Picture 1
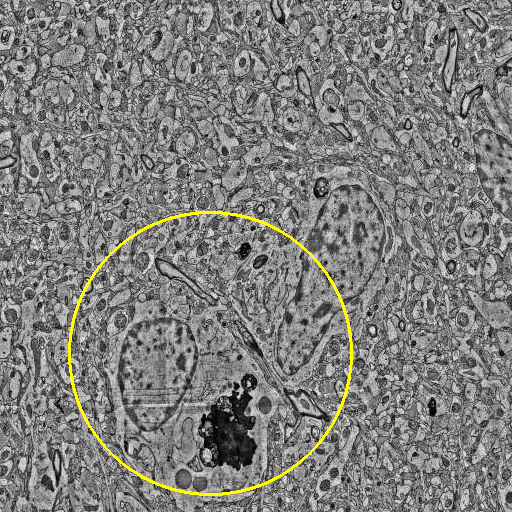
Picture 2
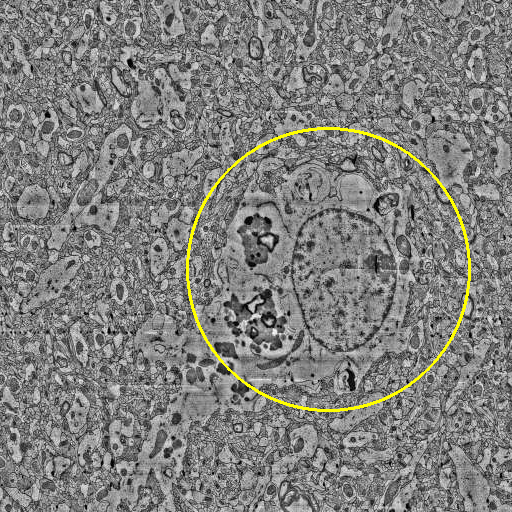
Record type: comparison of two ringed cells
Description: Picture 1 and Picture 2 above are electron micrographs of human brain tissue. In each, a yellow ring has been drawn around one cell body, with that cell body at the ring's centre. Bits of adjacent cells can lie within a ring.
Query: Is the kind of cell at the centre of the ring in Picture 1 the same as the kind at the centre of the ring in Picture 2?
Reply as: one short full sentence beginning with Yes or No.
Yes, the two ringed cells are of the same kind.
